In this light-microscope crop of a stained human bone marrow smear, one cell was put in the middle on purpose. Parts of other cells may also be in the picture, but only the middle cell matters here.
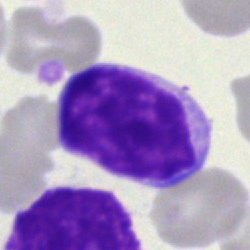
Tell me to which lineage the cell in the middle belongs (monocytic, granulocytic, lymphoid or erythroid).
lymphoid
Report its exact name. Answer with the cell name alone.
lymphocyte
